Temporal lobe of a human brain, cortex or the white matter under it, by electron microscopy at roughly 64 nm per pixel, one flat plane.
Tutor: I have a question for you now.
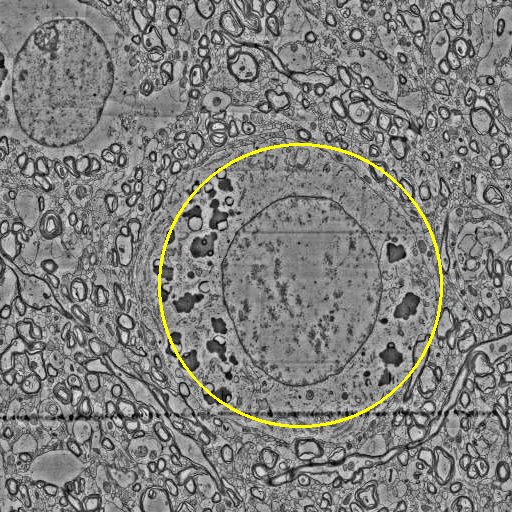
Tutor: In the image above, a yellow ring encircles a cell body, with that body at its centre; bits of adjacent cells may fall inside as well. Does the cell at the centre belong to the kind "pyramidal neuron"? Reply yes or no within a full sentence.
Yes, the cell at the centre of the yellow ring in the picture is of that kind.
